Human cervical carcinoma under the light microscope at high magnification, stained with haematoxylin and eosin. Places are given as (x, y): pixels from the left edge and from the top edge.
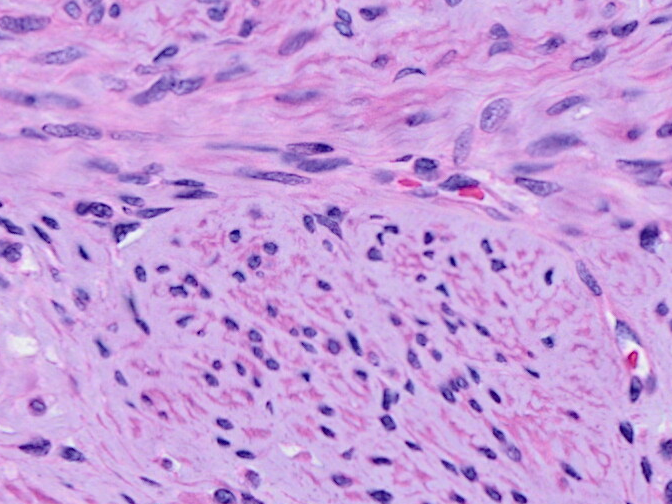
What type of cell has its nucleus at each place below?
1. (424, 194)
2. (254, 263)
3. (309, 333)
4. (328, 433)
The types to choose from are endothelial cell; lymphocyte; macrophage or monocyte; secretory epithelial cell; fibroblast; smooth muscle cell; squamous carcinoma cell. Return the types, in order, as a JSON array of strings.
["endothelial cell", "smooth muscle cell", "smooth muscle cell", "smooth muscle cell"]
